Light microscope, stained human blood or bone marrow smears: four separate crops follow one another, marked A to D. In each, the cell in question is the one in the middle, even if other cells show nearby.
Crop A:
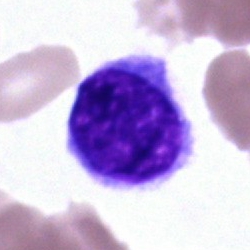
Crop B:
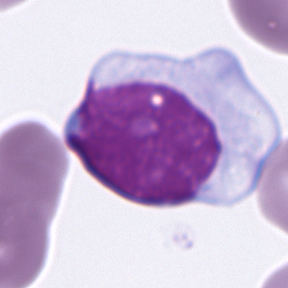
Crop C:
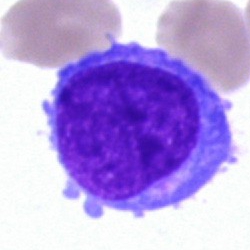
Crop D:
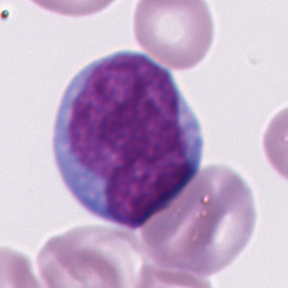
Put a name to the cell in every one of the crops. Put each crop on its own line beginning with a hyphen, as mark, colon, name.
- A: hairy cell
- B: lymphocyte
- C: blast
- D: blast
